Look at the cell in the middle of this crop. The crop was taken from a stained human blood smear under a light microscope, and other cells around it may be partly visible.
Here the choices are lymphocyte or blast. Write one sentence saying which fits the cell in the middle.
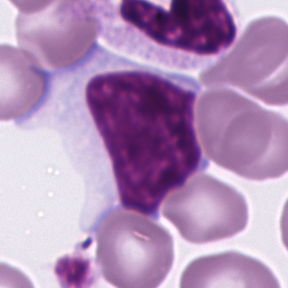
Centred in the crop is a lymphocyte.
